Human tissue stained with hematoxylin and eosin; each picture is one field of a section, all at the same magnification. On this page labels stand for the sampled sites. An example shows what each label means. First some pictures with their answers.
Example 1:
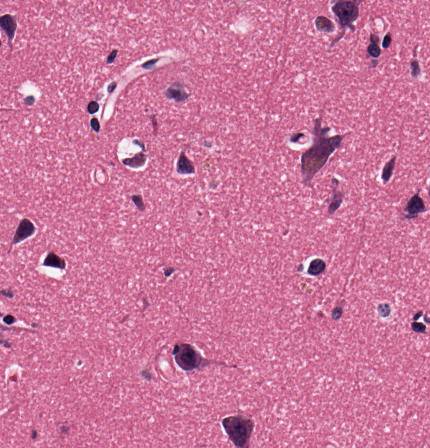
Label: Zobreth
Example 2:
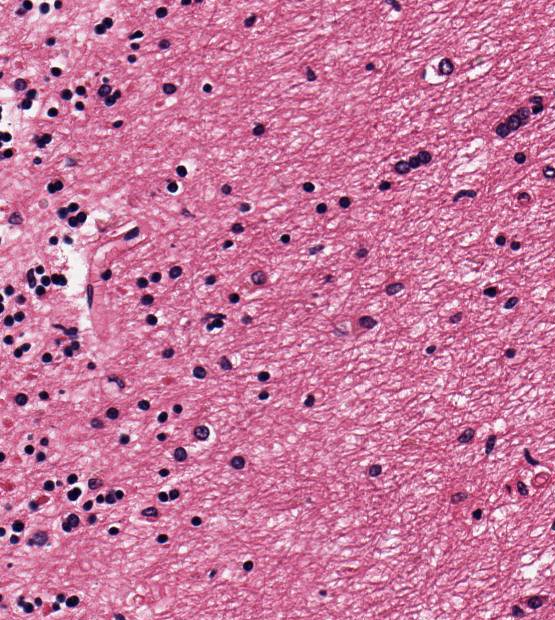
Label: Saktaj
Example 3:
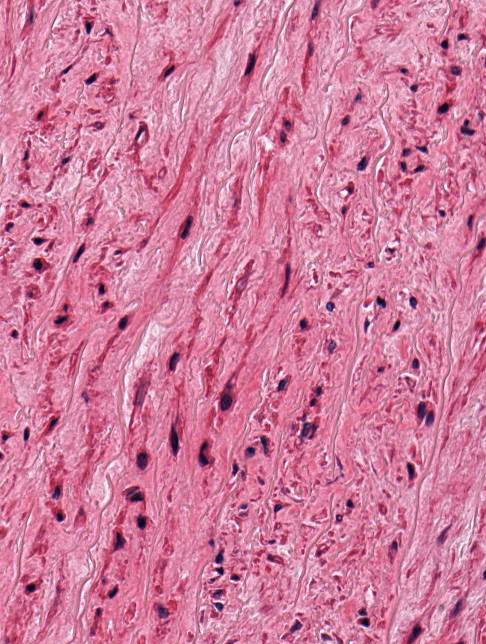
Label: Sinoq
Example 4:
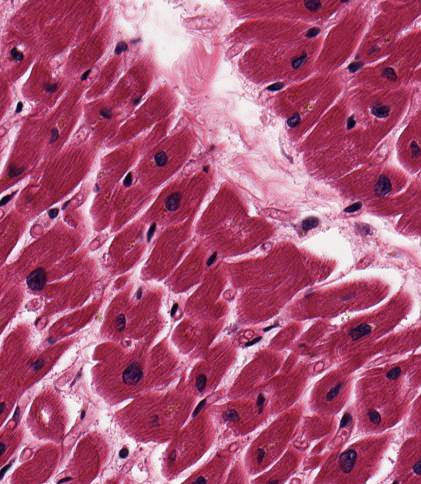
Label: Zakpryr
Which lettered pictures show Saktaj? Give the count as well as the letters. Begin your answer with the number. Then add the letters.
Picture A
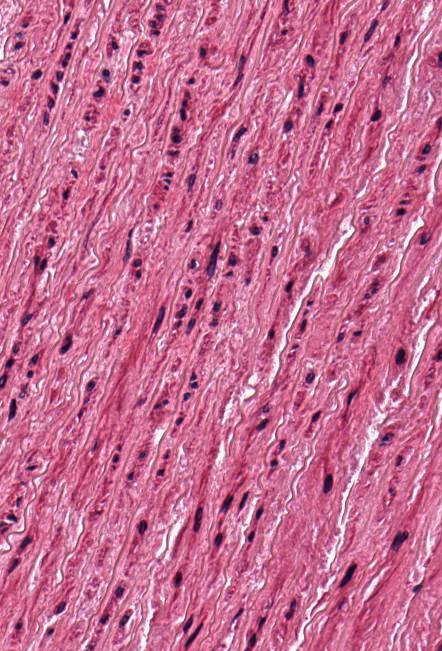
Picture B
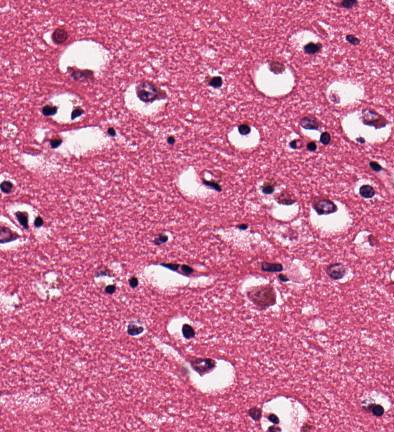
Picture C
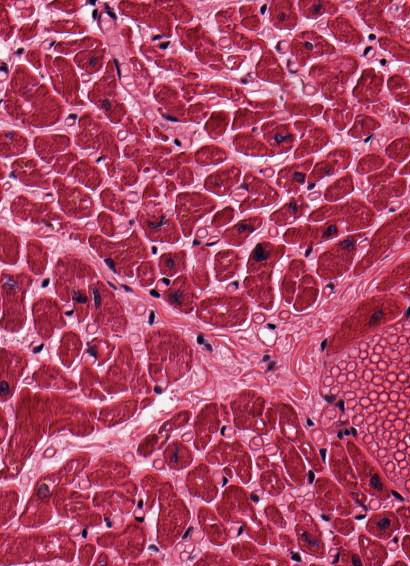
0, none of them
